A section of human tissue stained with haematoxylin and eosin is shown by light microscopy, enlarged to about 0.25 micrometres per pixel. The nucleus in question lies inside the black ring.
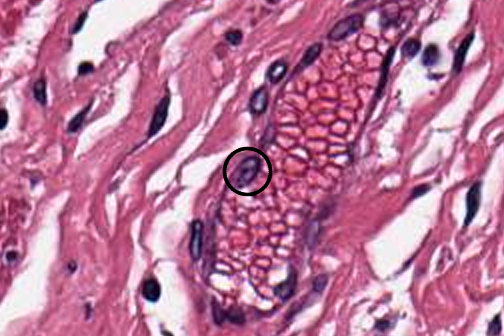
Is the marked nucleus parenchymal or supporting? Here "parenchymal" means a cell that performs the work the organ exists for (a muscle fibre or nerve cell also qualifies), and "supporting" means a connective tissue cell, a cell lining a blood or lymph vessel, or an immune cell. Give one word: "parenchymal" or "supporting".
supporting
